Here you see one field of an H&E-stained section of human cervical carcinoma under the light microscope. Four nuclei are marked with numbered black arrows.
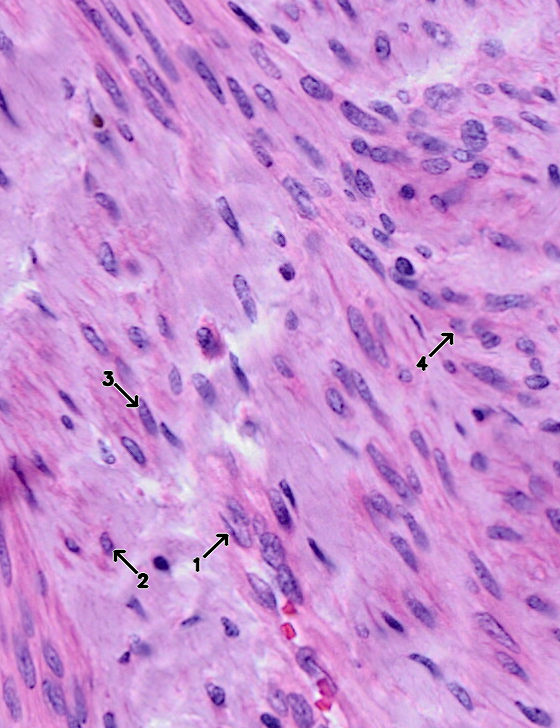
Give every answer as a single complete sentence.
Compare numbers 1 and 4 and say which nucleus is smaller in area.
The smaller nucleus is 4, and 1 covers roughly 4 times its area.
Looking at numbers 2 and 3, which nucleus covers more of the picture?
It is nucleus 3, which covers about 2 times the area of nucleus 2.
